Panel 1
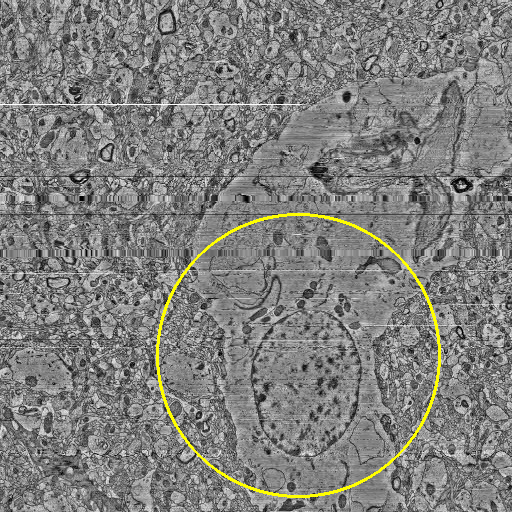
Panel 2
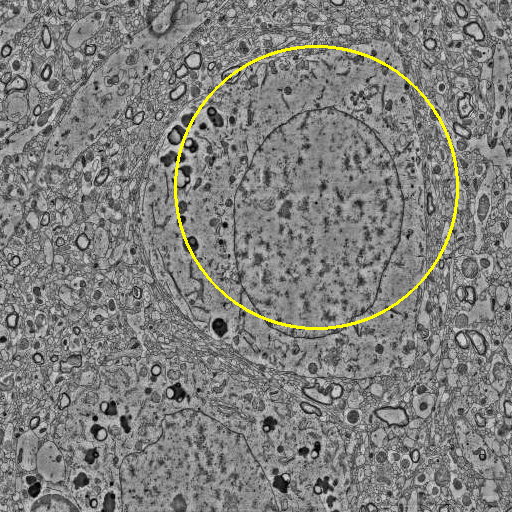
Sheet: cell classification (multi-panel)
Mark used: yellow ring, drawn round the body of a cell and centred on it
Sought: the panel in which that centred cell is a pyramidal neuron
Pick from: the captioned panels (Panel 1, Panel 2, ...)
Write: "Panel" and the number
Panel 2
